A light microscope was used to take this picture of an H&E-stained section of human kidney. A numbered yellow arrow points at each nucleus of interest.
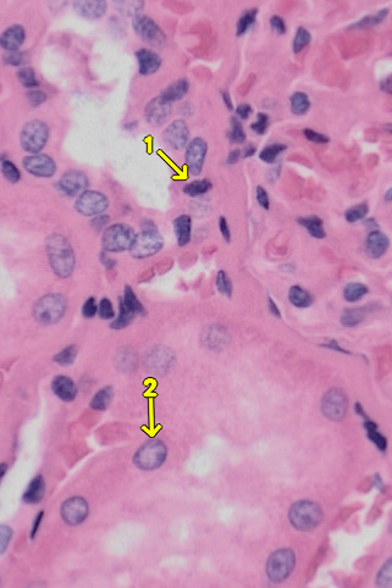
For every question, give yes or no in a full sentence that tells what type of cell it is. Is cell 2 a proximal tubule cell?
Yes, the cell bearing the number 2 is a proximal tubule cell.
